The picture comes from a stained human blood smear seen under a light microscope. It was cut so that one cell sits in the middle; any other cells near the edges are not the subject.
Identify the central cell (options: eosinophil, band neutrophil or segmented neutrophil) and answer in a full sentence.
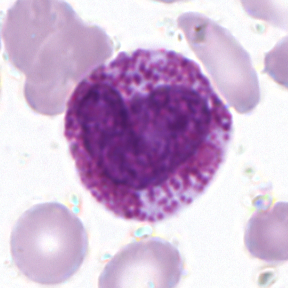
The cell featured at the centre of this crop is an eosinophil.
